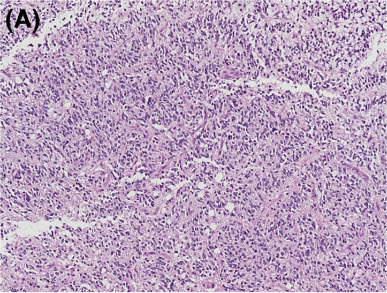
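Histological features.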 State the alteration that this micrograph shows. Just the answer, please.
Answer: Diffuse glioma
